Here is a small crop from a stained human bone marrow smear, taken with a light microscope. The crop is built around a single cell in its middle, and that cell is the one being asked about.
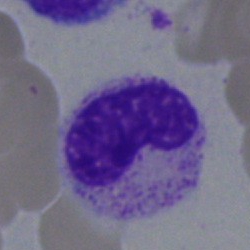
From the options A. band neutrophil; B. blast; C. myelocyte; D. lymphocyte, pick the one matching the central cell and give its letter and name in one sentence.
That the central cell is a band neutrophil makes option A correct.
